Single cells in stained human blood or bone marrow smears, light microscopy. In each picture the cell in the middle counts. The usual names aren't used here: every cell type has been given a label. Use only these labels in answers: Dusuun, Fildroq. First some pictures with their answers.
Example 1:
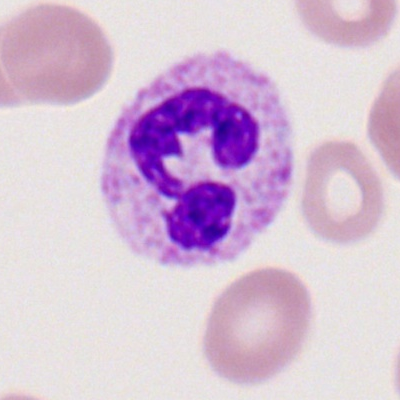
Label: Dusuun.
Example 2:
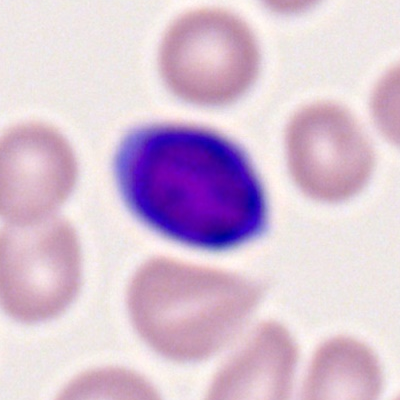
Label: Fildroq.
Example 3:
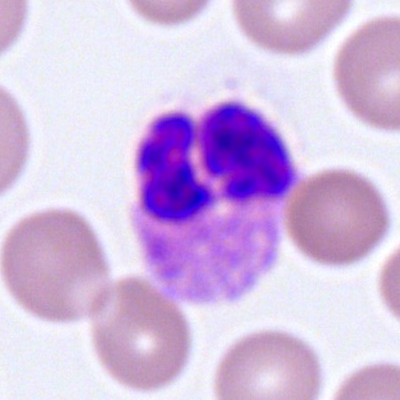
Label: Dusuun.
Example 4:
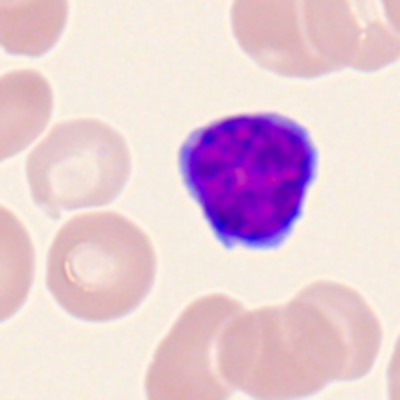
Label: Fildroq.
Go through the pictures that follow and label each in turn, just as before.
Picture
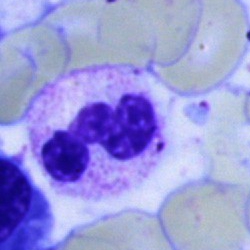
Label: Dusuun.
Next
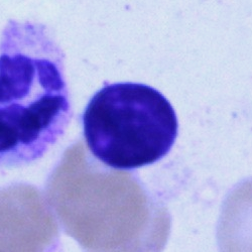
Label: Fildroq.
